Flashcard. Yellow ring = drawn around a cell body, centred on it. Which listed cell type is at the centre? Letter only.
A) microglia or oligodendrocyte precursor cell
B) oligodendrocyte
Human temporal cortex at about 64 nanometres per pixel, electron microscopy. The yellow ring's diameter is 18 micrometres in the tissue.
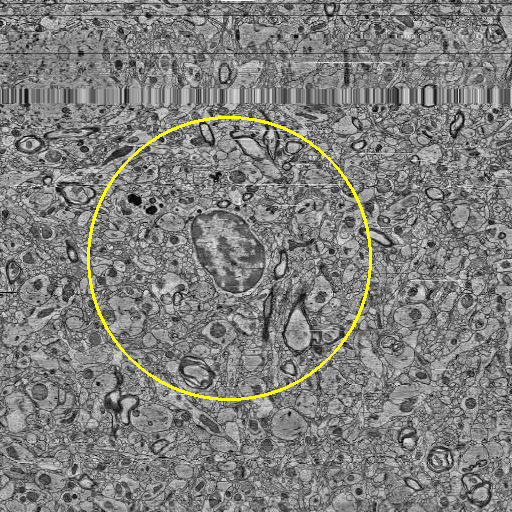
A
